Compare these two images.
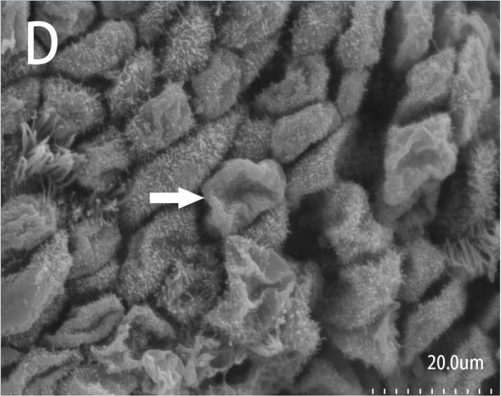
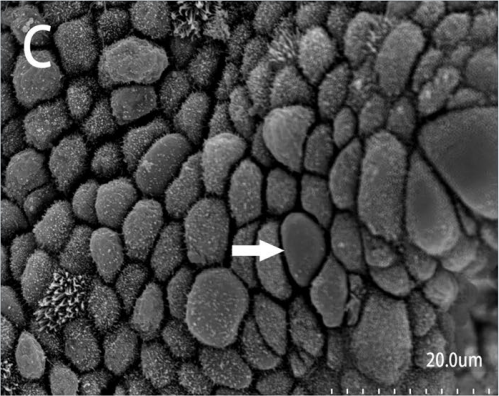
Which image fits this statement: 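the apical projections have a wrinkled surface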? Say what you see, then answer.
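The first image. First image: apical projections are crumpled and folded. Second image: apical projections are smooth, taut domes.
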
